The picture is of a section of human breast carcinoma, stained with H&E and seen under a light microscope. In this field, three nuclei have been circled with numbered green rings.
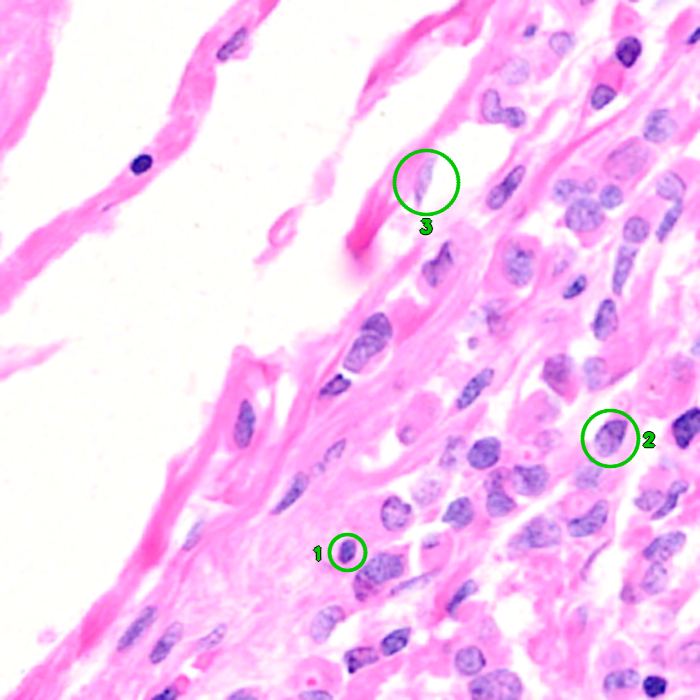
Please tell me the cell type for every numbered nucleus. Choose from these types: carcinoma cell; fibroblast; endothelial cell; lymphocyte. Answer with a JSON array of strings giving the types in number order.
["lymphocyte", "carcinoma cell", "fibroblast"]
